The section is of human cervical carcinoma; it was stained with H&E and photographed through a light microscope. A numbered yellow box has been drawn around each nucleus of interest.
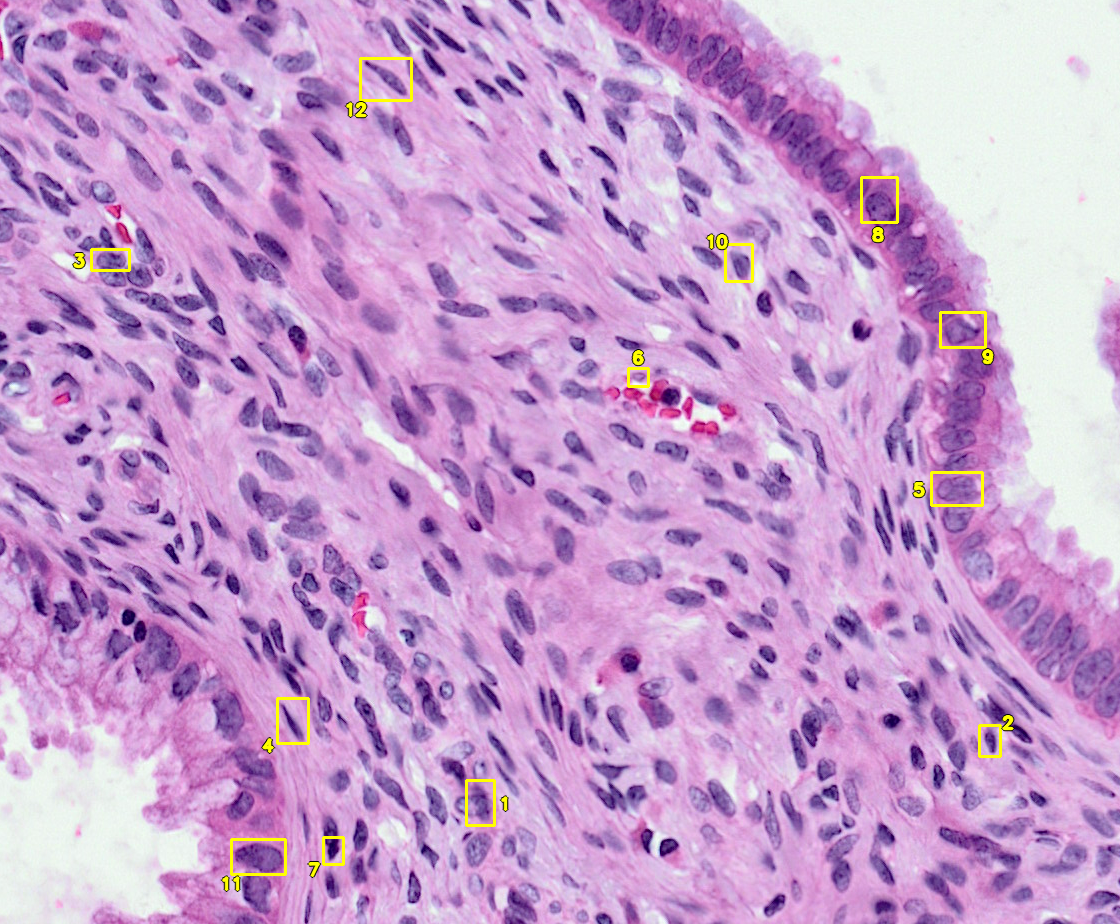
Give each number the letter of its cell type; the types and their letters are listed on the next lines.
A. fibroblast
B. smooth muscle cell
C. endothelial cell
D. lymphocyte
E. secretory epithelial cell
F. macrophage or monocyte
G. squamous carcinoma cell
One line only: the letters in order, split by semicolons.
C; A; C; A; E; C; D; E; E; A; E; A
